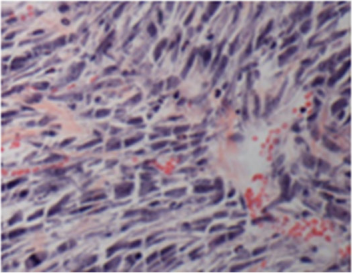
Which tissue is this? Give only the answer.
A: Spindle cell.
